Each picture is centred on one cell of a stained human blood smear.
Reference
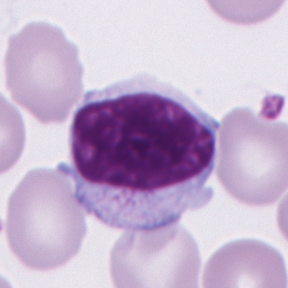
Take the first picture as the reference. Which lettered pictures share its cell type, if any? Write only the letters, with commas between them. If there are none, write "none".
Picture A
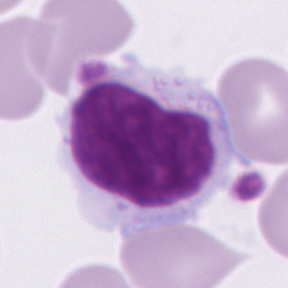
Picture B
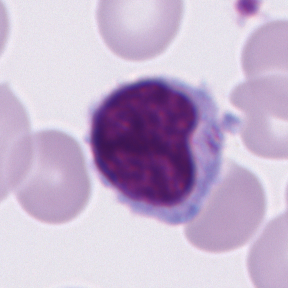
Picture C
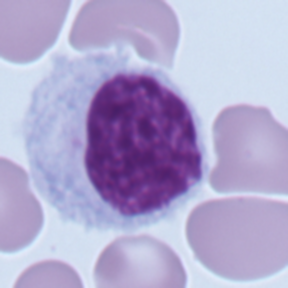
A, B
